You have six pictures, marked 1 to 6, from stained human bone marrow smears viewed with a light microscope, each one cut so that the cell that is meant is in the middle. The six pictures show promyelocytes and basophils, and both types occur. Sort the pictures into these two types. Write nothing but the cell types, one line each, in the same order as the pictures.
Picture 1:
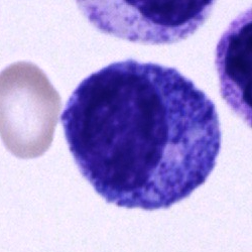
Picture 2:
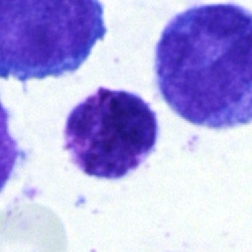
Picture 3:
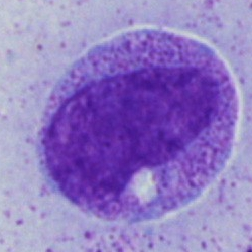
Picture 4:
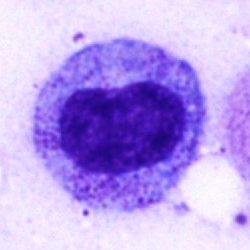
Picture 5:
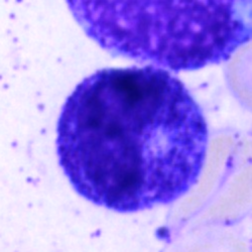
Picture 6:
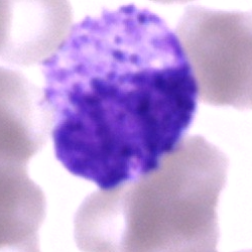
promyelocyte
basophil
promyelocyte
promyelocyte
promyelocyte
basophil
